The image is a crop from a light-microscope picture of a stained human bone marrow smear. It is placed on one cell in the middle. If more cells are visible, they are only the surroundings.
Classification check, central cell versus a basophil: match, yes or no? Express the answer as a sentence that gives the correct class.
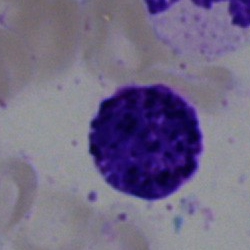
Yes, the cell in the middle of the crop is a basophil.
